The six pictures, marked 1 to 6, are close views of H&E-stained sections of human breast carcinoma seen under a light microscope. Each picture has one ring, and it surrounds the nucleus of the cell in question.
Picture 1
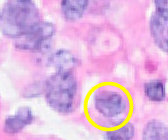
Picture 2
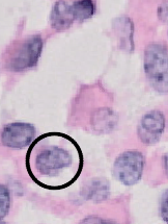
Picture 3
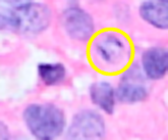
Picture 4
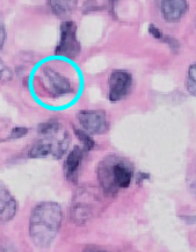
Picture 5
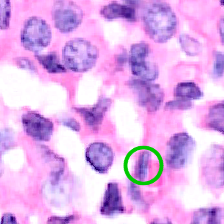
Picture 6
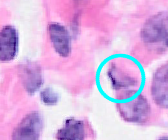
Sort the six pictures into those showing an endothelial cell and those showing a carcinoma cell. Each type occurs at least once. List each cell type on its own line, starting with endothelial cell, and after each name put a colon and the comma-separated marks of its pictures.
endothelial cell: 3, 4, 5
carcinoma cell: 1, 2, 6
